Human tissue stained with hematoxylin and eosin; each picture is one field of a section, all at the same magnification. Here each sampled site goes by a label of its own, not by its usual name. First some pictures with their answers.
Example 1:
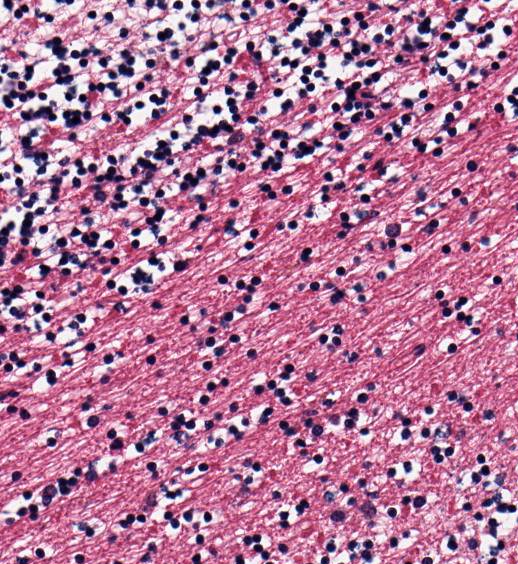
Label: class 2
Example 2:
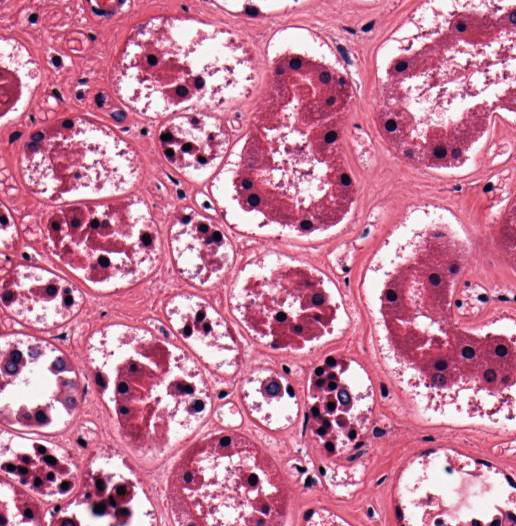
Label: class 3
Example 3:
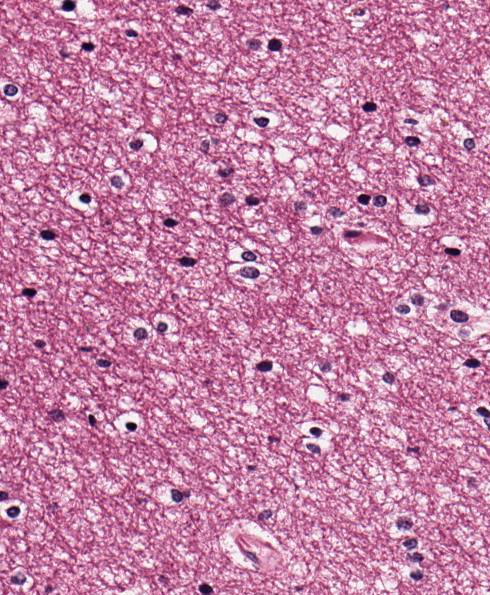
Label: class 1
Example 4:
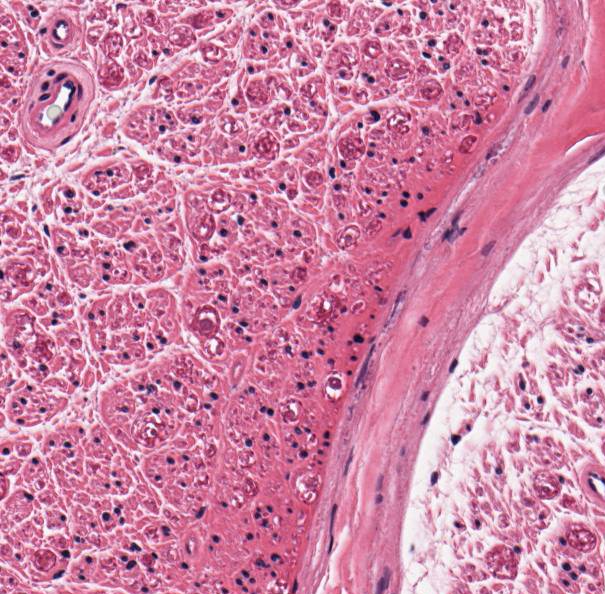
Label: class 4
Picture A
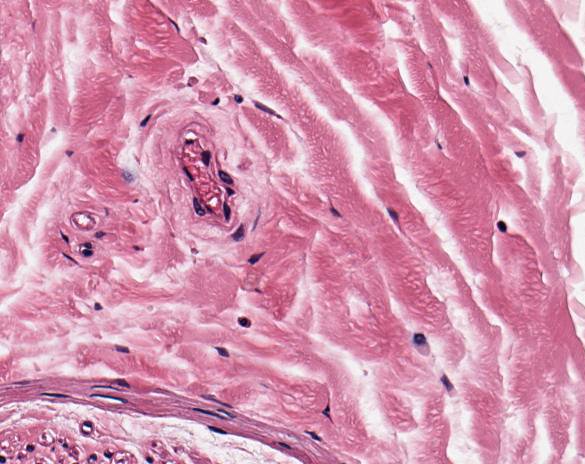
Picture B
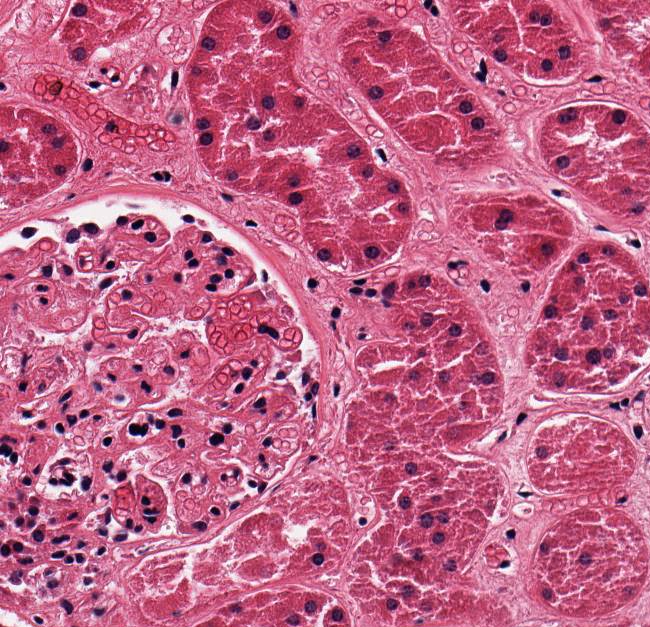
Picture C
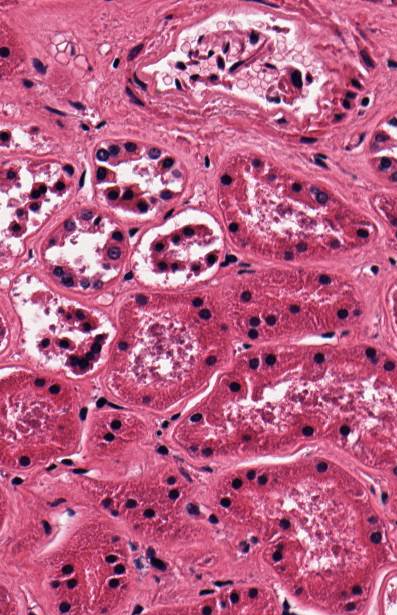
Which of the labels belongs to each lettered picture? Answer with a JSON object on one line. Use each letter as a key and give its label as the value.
{"A": "class 4", "B": "class 3", "C": "class 3"}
